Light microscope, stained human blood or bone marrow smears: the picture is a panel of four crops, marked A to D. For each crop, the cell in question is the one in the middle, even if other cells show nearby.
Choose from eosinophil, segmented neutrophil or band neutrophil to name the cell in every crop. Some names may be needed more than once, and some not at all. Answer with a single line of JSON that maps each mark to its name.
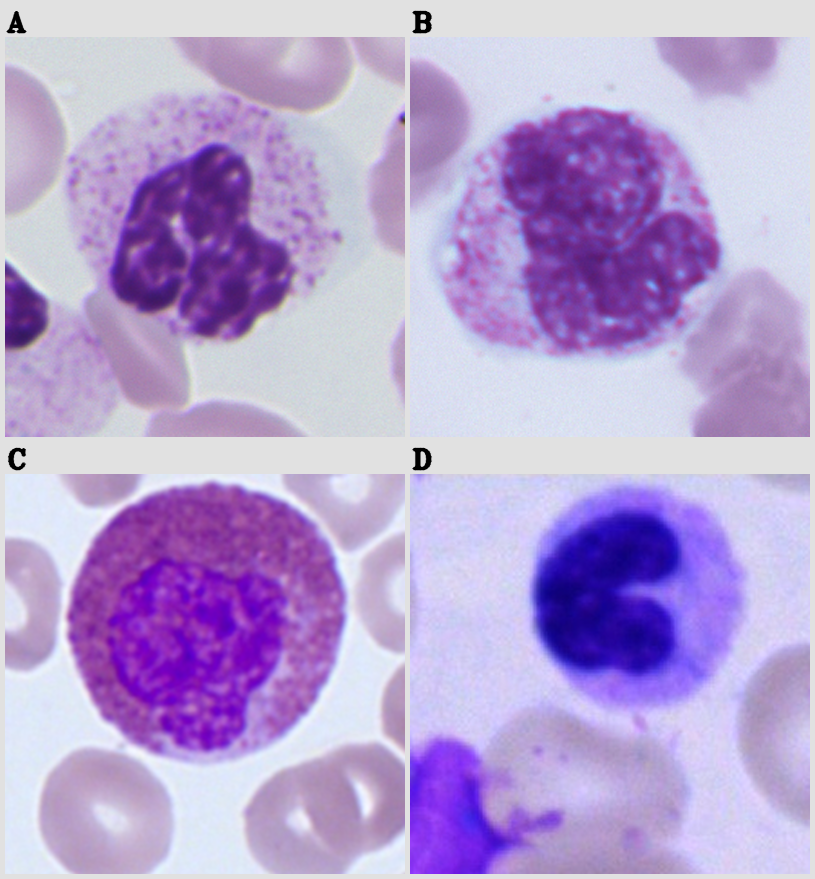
{"A": "segmented neutrophil", "B": "band neutrophil", "C": "eosinophil", "D": "band neutrophil"}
